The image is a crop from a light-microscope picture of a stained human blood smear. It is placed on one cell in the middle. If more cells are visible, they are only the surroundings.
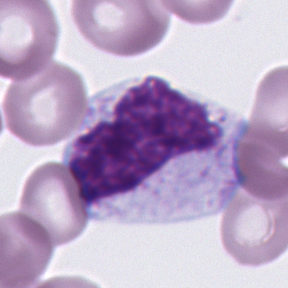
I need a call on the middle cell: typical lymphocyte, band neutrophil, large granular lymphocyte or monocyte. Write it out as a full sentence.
Present in the middle of the crop is a band neutrophil.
